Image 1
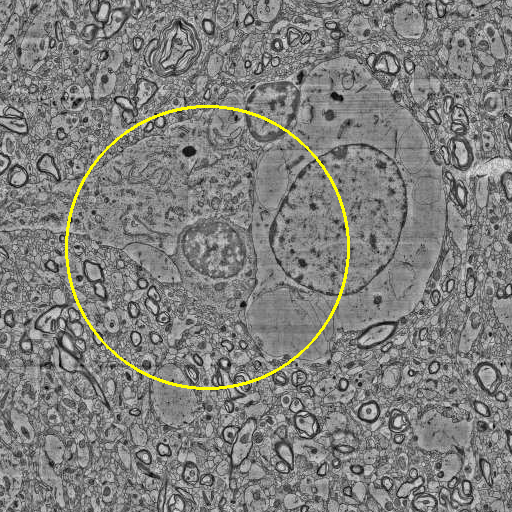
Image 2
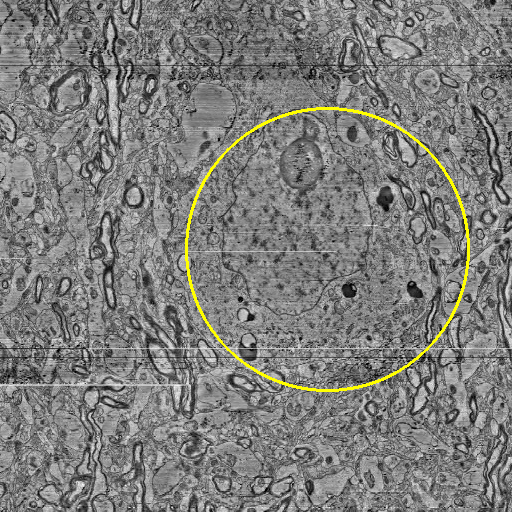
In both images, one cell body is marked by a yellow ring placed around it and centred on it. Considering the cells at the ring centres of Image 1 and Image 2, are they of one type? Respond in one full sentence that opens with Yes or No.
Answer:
No, two types apply to the ring-centred cells of Image 1 and Image 2.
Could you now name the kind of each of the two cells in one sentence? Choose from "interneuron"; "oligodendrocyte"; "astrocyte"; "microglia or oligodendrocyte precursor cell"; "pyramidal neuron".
The first ring encloses an oligodendrocyte; the second ring encloses a pyramidal neuron.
